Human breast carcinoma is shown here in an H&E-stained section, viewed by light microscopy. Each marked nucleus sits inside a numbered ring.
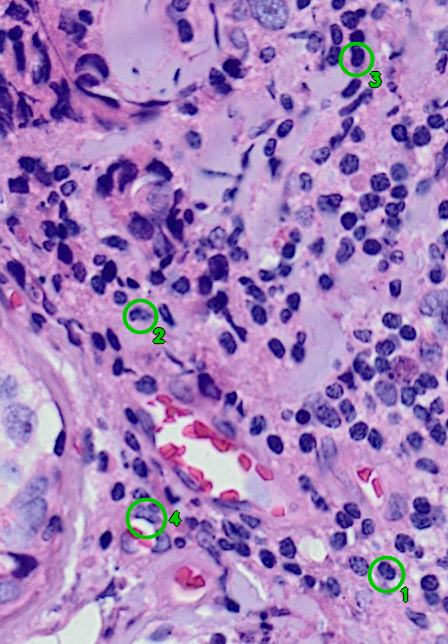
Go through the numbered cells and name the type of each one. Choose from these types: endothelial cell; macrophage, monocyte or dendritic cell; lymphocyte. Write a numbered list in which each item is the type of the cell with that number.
1. lymphocyte
2. lymphocyte
3. lymphocyte
4. endothelial cell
